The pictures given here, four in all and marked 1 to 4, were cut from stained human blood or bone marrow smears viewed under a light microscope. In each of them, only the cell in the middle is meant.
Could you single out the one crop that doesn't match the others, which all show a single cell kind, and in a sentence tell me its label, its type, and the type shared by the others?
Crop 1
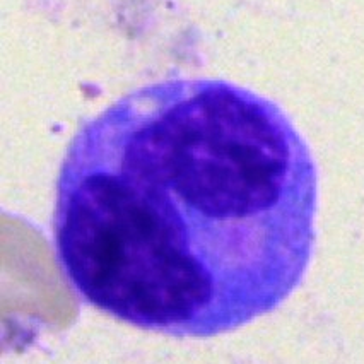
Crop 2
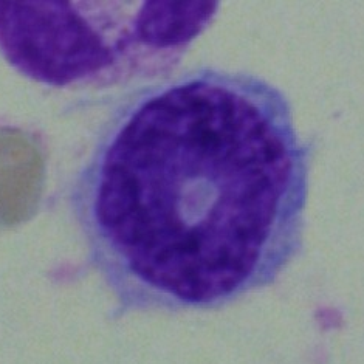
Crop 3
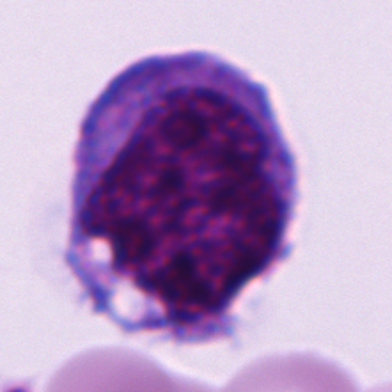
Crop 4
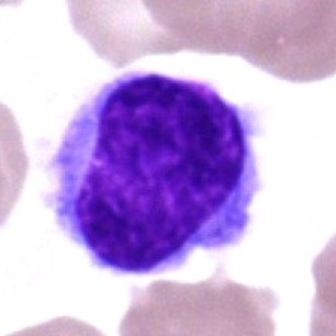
Crop 4 is the sole crop with a hairy cell; the others all have monocytes.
